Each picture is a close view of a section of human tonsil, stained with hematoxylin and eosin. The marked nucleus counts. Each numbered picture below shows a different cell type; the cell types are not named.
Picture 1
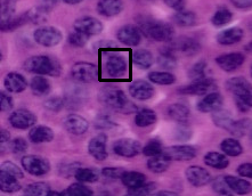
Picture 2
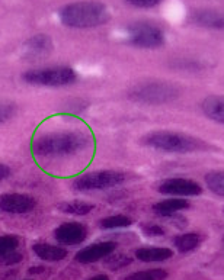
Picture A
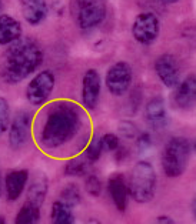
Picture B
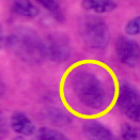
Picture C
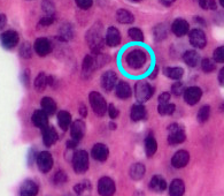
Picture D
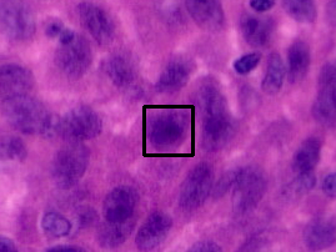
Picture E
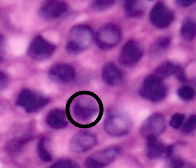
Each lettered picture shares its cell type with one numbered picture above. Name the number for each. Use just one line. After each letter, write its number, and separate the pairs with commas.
A 2, B 2, C 1, D 2, E 2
